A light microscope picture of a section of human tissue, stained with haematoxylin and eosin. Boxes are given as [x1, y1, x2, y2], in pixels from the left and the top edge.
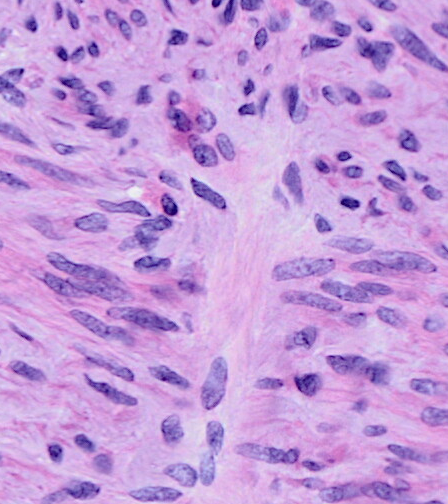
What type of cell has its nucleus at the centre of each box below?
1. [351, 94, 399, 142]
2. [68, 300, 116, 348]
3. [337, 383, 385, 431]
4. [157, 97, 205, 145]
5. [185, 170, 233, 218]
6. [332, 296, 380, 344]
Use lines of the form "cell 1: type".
cell 1: smooth muscle cell
cell 2: smooth muscle cell
cell 3: smooth muscle cell
cell 4: endothelial cell
cell 5: fibroblast
cell 6: smooth muscle cell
